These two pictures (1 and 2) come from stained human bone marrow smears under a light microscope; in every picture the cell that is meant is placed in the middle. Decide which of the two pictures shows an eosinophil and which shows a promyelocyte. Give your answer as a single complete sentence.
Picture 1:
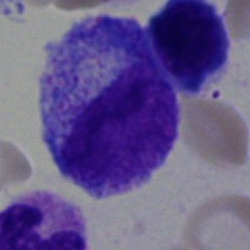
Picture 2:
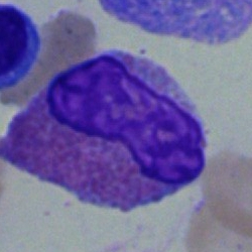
Picture 1 shows a promyelocyte and picture 2 shows an eosinophil.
